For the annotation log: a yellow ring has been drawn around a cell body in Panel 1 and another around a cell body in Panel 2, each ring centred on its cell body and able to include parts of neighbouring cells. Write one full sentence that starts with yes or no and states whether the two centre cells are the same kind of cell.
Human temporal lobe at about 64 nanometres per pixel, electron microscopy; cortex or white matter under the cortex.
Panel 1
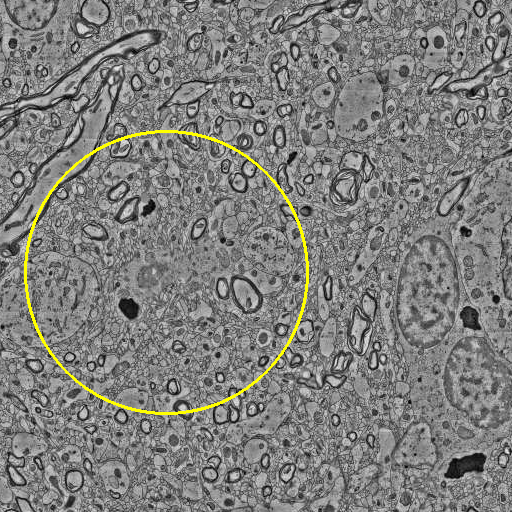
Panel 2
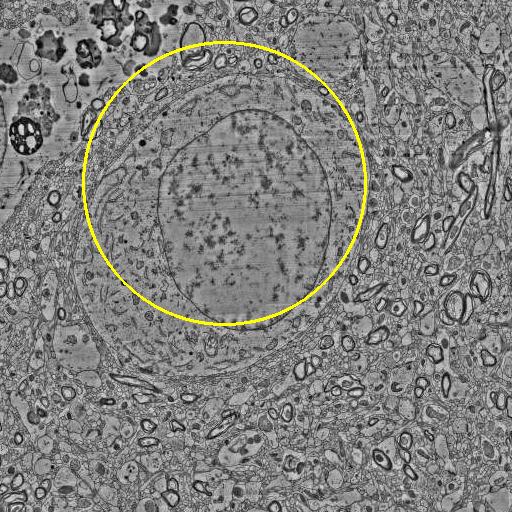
No, the two centre cells are two kinds of cell.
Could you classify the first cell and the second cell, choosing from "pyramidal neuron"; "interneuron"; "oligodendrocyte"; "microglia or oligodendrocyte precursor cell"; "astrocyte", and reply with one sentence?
The second cell is a pyramidal neuron, while the first is an oligodendrocyte.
